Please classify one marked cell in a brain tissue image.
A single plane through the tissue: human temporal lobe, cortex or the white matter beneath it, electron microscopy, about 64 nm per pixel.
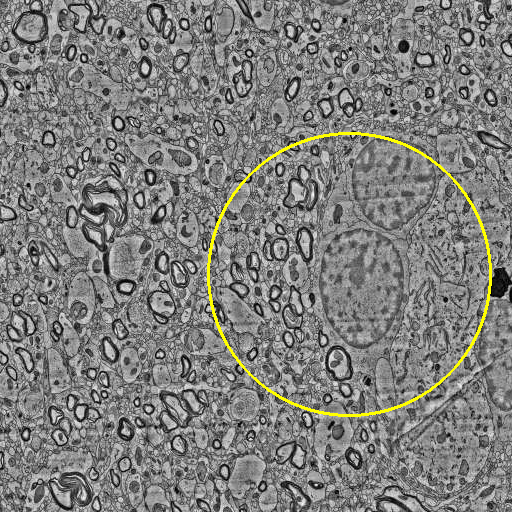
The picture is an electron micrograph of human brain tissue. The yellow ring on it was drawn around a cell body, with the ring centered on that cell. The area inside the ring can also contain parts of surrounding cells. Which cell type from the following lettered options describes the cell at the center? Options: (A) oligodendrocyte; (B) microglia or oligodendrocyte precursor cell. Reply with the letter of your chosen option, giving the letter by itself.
A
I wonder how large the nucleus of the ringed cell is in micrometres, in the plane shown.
In this plane the nucleus spans approximately 8 by 5 micrometers.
